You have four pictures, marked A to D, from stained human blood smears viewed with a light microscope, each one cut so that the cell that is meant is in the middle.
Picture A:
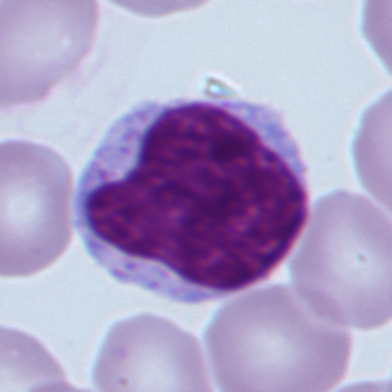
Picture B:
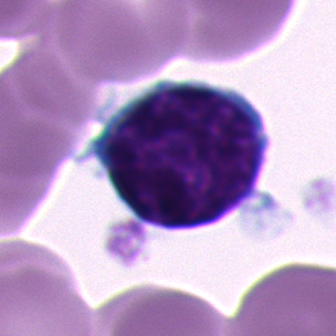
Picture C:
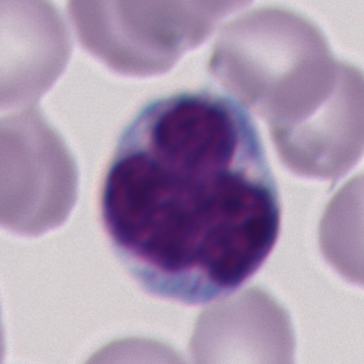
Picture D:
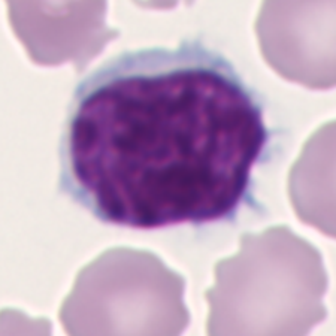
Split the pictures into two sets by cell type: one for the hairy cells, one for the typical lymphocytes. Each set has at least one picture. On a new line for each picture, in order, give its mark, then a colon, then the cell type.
A: typical lymphocyte
B: typical lymphocyte
C: typical lymphocyte
D: hairy cell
